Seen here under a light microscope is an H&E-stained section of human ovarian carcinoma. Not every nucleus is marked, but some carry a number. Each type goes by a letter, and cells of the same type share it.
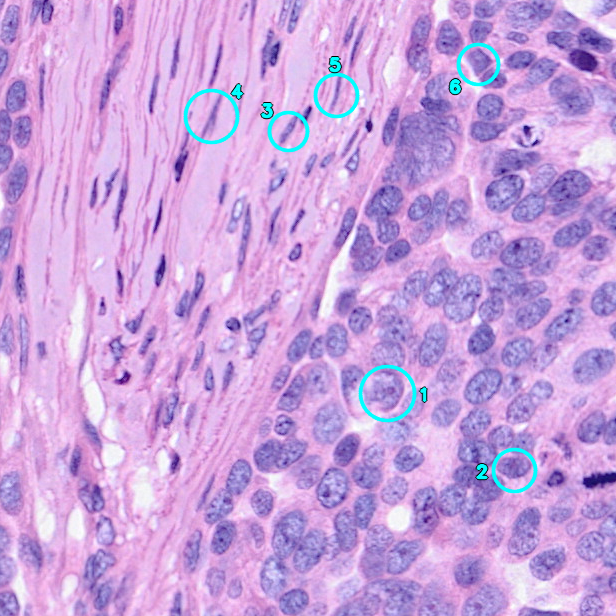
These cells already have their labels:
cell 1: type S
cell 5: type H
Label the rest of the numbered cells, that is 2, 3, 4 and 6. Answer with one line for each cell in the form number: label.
2: type S
3: type H
4: type H
6: type S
